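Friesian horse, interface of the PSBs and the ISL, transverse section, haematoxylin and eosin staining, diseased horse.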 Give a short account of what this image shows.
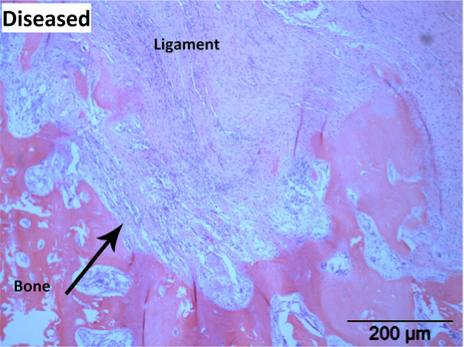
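At low power, densely cellular purple ligament tissue meets pink bone along a ragged, irregular front, with strands of fibrous tissue extending into spaces within the bone. The ligament is crowded with nuclei, so it looks much more purple and cellular than the adjacent bone.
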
